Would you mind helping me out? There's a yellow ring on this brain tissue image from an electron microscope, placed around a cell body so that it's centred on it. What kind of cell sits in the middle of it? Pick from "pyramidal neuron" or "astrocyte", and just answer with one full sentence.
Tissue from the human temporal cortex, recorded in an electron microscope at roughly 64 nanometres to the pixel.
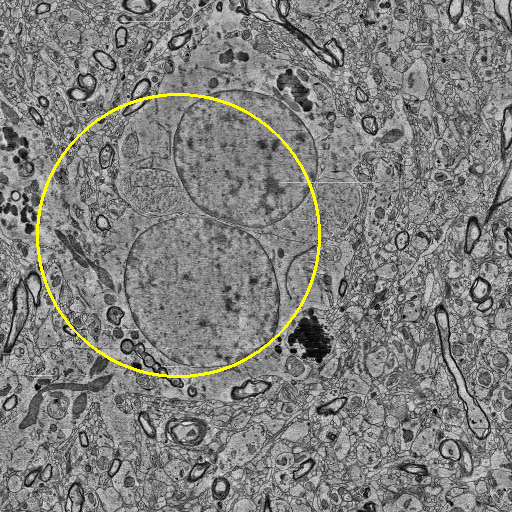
What sits in the middle of that yellow ring is an astrocyte, from your choices.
